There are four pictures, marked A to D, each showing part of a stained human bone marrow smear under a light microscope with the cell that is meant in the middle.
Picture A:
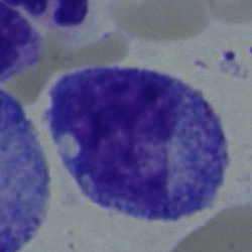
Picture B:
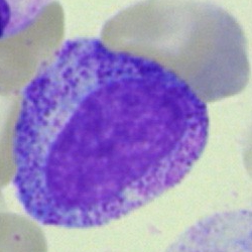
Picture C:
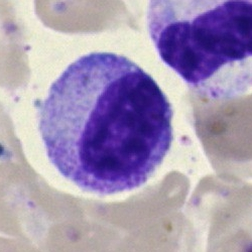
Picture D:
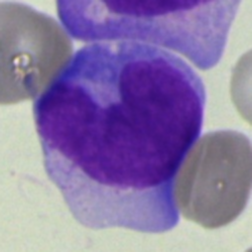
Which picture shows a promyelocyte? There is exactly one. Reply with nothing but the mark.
B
